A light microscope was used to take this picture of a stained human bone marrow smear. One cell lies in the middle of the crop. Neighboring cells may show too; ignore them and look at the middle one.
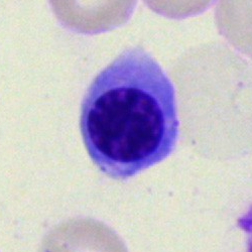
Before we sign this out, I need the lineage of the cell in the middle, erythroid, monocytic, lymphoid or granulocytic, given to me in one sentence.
The central cell is grouped with the erythroid lineage.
